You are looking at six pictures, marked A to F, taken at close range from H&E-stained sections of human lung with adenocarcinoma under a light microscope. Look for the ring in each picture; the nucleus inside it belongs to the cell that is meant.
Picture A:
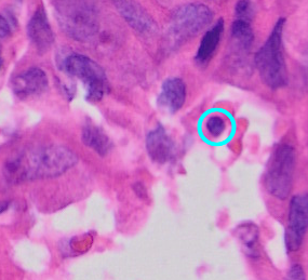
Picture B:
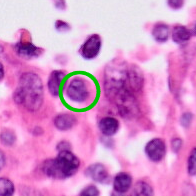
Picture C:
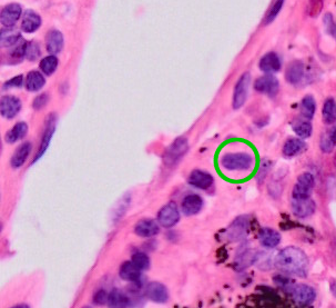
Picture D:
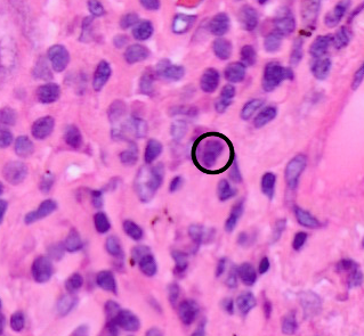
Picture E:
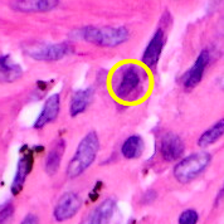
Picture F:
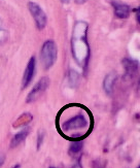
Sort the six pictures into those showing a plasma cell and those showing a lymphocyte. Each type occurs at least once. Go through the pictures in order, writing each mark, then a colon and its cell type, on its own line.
A: lymphocyte
B: lymphocyte
C: lymphocyte
D: plasma cell
E: plasma cell
F: plasma cell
